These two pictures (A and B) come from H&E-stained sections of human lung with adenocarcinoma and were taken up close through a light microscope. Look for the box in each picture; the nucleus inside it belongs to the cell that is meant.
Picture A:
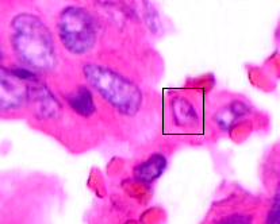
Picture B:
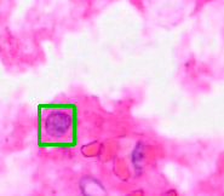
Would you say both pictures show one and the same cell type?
yes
